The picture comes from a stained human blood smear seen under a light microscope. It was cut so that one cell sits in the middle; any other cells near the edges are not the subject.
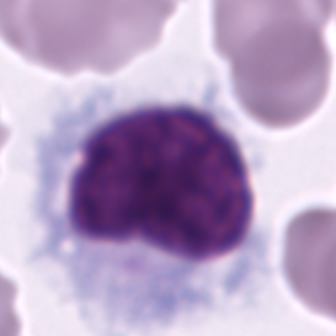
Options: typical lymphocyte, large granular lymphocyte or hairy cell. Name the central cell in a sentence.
The centrally positioned cell in the crop represents a hairy cell.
